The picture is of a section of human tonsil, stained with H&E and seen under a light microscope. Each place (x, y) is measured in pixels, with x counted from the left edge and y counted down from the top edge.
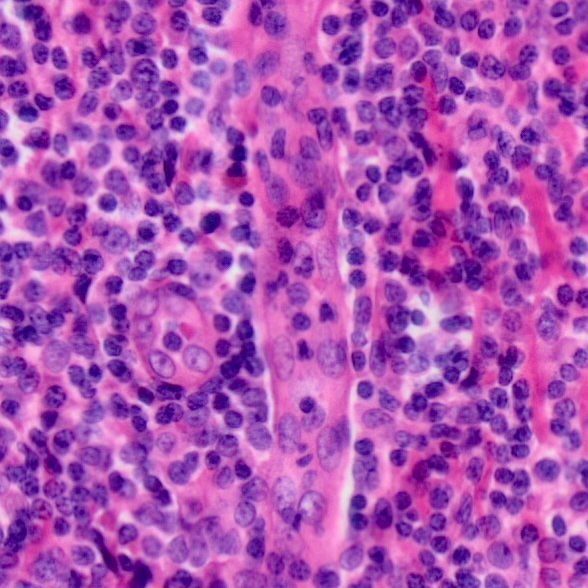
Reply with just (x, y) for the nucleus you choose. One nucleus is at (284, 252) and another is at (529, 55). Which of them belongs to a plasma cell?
(529, 55)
